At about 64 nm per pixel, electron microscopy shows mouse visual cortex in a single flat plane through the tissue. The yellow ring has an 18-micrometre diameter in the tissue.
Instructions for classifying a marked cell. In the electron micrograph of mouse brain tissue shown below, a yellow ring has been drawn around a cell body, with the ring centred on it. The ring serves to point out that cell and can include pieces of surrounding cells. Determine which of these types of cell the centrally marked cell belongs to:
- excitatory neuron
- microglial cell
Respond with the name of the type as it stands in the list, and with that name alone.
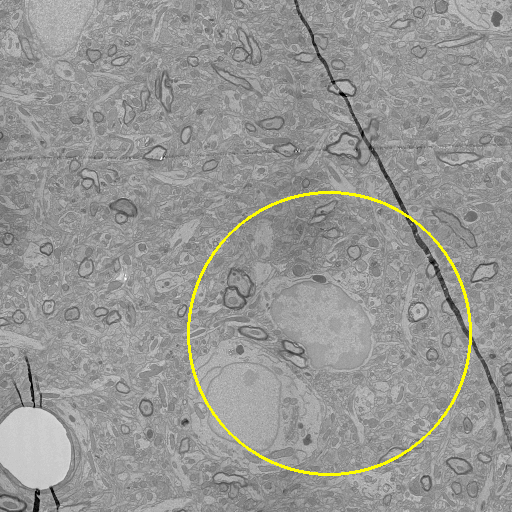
microglial cell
